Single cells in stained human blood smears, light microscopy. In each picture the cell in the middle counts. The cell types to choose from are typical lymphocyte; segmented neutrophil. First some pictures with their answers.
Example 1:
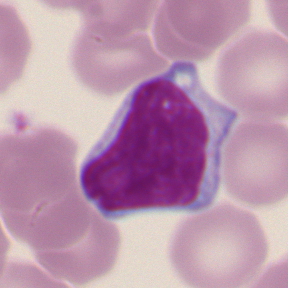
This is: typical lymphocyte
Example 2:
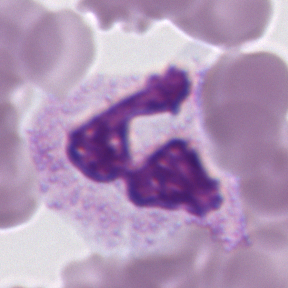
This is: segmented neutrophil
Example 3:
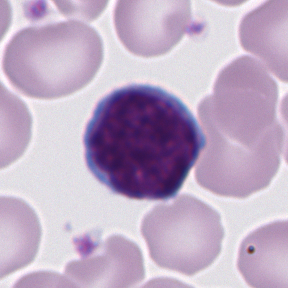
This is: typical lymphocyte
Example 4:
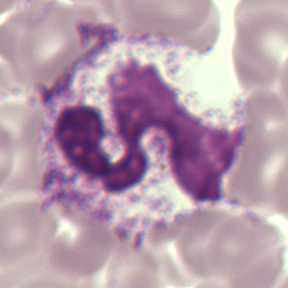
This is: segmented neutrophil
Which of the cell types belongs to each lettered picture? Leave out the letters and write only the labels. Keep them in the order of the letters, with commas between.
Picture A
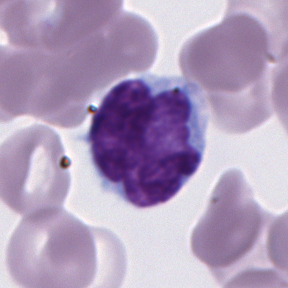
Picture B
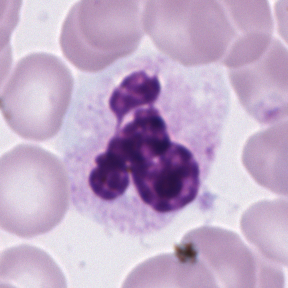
typical lymphocyte, segmented neutrophil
